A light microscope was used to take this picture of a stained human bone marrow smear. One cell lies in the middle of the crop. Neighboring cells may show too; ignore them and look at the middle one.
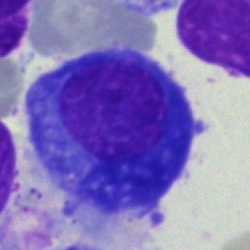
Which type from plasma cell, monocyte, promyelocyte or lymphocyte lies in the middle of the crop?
plasma cell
